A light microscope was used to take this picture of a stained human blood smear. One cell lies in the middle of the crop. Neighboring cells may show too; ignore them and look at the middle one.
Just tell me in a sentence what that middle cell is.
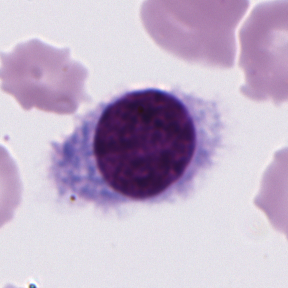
In the center of this field lies a hairy cell.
